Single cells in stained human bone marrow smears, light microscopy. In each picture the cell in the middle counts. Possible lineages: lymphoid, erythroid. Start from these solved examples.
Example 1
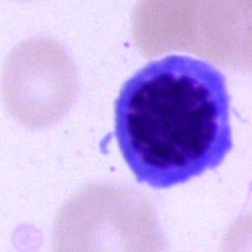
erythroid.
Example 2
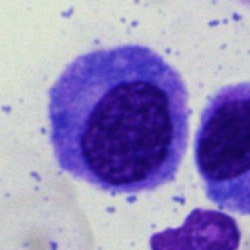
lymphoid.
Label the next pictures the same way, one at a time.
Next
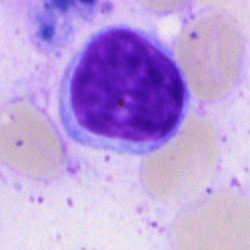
lymphoid.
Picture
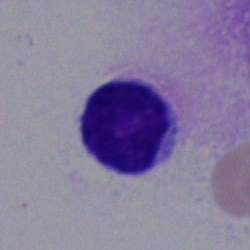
lymphoid.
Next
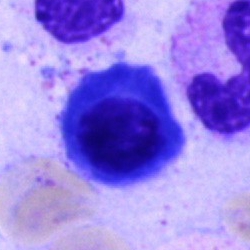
lymphoid.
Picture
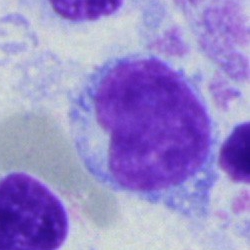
lymphoid.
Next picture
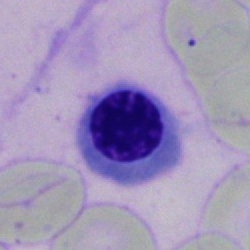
erythroid.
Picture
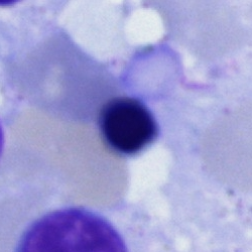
erythroid.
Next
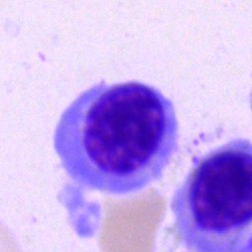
erythroid.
